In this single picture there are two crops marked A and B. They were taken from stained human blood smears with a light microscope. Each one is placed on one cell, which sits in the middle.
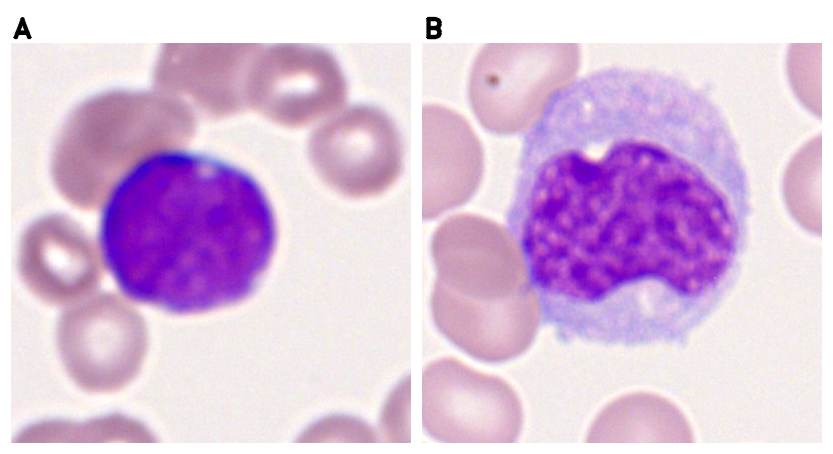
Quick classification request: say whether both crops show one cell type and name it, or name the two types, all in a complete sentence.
No, whereas crop A shows a myeloblast, crop B shows a monocyte.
